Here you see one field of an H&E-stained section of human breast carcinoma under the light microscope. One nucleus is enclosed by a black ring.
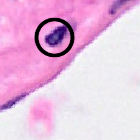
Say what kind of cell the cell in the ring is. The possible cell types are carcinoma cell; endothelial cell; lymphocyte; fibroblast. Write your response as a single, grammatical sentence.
As to its cell type, the cell in the ring is a lymphocyte.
